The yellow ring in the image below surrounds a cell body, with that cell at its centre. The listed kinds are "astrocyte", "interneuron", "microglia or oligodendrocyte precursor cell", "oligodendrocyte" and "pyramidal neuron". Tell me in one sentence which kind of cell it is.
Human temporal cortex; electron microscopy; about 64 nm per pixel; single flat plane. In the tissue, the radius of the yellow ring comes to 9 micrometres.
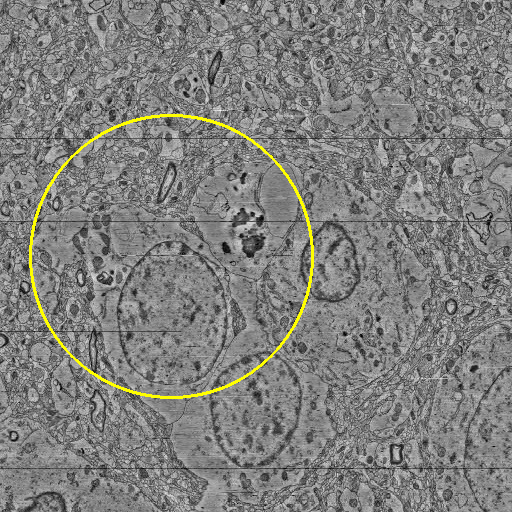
The centre of the ring holds an astrocyte.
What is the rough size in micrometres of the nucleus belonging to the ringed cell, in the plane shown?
In this plane, approximately 9 by 7 micrometers.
